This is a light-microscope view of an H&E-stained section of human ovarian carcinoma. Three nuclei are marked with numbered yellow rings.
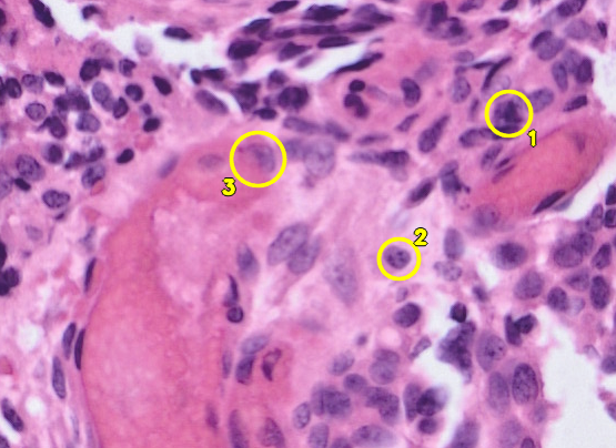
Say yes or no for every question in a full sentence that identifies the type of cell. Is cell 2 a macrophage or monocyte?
Yes, the cell shown as number 2 is a macrophage or monocyte.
